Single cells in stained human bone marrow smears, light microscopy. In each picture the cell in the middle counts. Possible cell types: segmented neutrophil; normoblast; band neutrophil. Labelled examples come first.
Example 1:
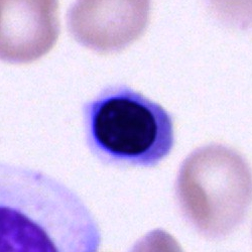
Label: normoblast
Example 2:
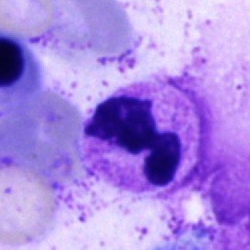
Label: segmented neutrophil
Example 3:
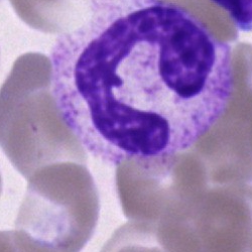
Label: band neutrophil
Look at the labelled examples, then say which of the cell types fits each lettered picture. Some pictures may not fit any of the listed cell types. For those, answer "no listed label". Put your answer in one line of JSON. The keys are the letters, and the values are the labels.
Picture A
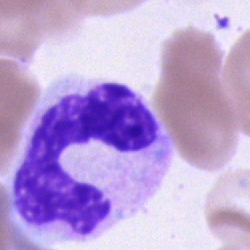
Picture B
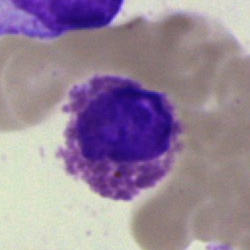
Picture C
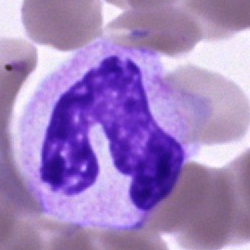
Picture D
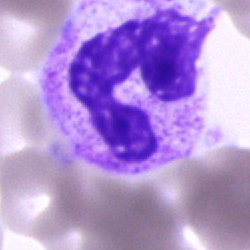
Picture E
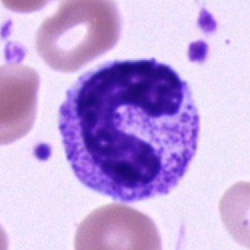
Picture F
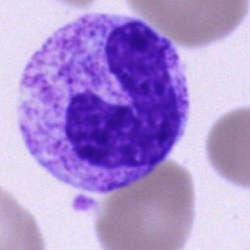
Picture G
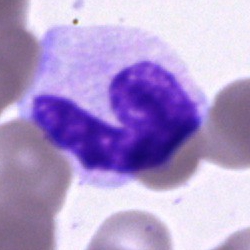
{"A": "band neutrophil", "B": "no listed label", "C": "band neutrophil", "D": "band neutrophil", "E": "band neutrophil", "F": "band neutrophil", "G": "band neutrophil"}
